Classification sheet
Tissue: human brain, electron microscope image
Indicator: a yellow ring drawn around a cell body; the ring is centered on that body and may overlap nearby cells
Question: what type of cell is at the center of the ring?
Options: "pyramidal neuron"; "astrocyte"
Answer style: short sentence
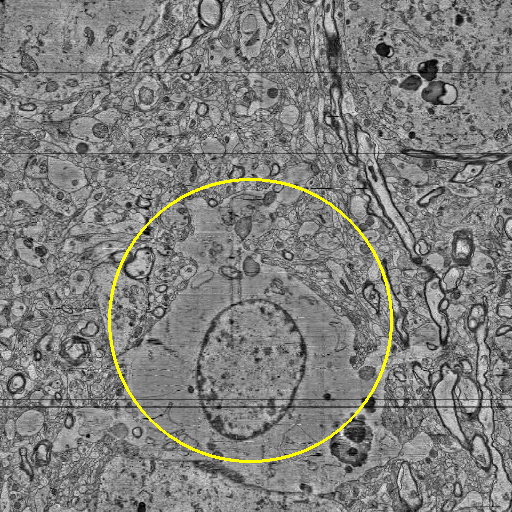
At the ring's center is an astrocyte.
